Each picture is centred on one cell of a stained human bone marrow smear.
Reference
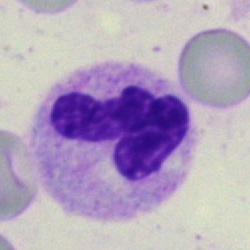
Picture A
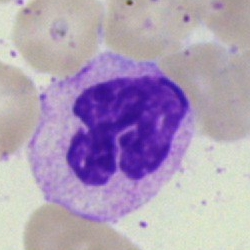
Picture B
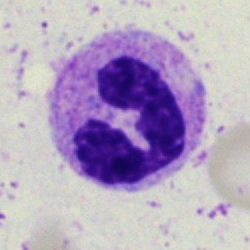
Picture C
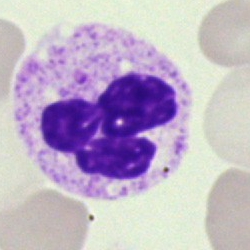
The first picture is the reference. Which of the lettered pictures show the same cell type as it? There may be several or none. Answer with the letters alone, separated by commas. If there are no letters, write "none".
A, B, C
